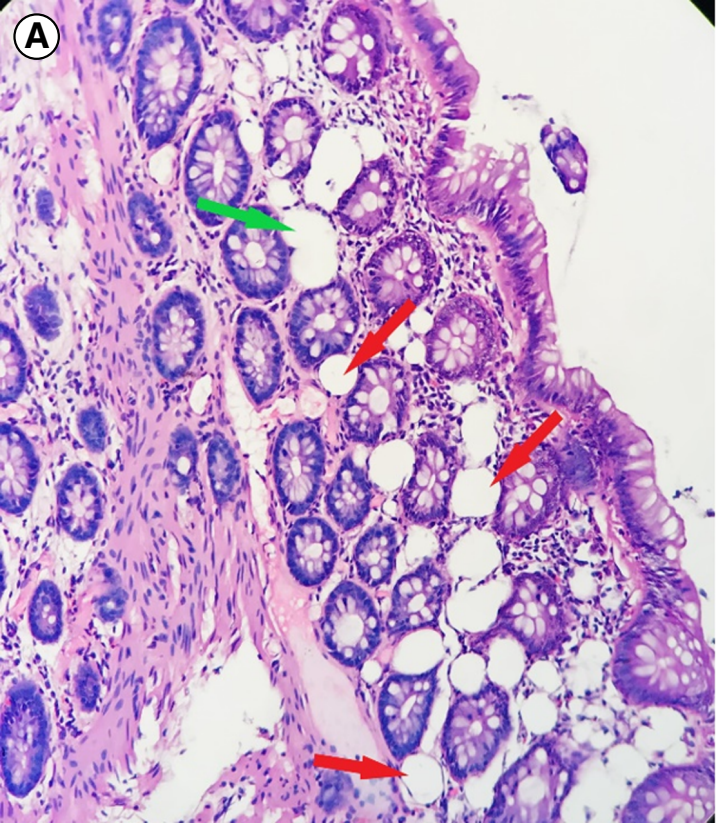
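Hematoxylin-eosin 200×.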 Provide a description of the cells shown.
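Intestinal mucosa with crypts cut in cross-section shows many optically empty, round vacuoles of variable size in the connective tissue between the crypts. The crypts appear as round rings of purple-nucleated epithelium around pale mucin-filled cells, and a columnar surface epithelium runs along the right edge. Some vacuoles lie next to one another and merge into larger irregular spaces. Bundles of pink smooth muscle with elongated nuclei run through the left part of the field, and small dark inflammatory cells are scattered in the tissue around the vacuoles.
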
